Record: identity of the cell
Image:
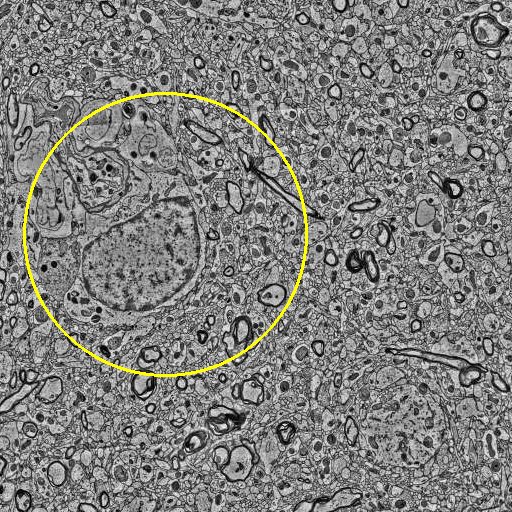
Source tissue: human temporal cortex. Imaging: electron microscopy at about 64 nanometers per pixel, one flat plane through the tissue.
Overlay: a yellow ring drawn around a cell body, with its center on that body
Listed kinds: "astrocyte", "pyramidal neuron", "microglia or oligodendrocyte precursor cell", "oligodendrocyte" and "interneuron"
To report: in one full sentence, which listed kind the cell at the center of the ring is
In the image, the cell body at the ring's center belongs to a microglial cell or oligodendrocyte precursor cell.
